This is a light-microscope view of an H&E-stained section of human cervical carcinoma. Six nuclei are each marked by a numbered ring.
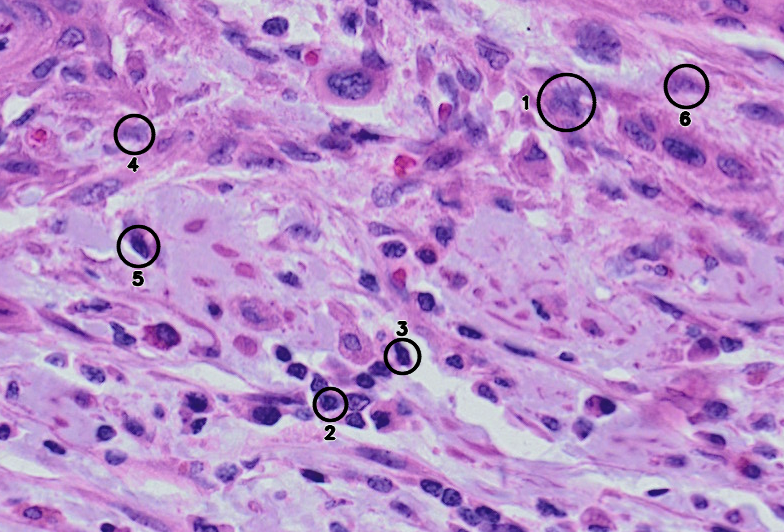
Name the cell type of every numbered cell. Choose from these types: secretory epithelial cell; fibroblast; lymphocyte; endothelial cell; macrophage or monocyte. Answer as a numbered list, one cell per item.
1. fibroblast
2. lymphocyte
3. lymphocyte
4. fibroblast
5. lymphocyte
6. fibroblast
